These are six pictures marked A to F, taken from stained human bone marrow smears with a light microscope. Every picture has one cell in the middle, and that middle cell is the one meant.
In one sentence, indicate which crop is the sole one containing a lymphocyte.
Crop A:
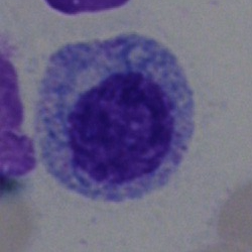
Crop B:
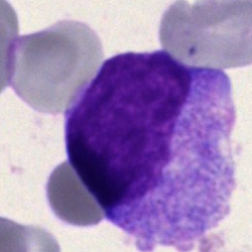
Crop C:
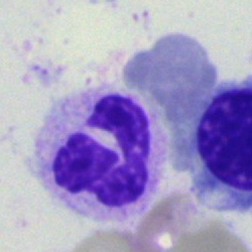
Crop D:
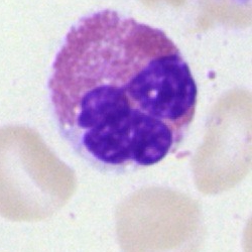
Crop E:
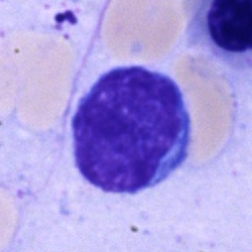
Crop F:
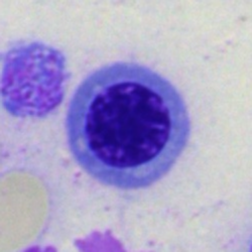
Crop E is the single crop that shows a lymphocyte.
